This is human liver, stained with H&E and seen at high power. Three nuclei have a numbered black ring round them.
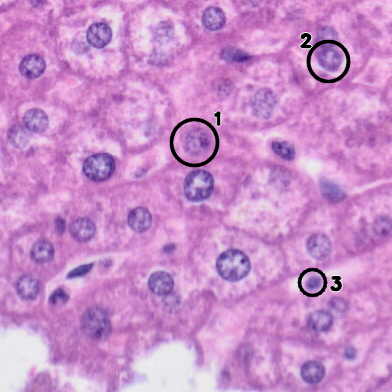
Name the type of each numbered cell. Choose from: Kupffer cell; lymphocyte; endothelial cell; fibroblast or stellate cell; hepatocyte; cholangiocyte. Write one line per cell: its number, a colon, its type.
1: hepatocyte
2: hepatocyte
3: lymphocyte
